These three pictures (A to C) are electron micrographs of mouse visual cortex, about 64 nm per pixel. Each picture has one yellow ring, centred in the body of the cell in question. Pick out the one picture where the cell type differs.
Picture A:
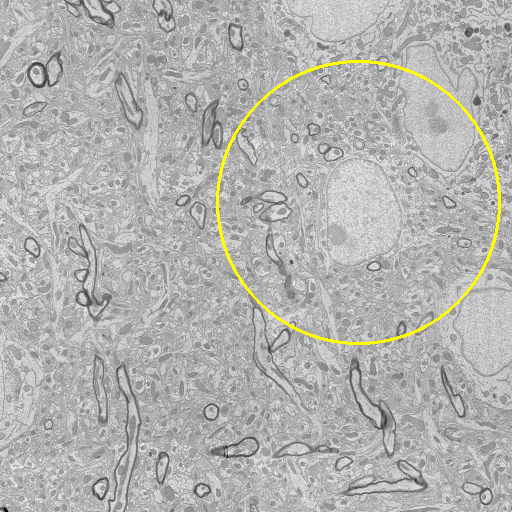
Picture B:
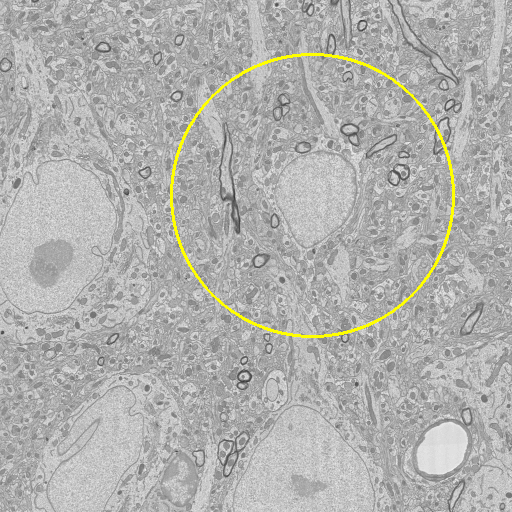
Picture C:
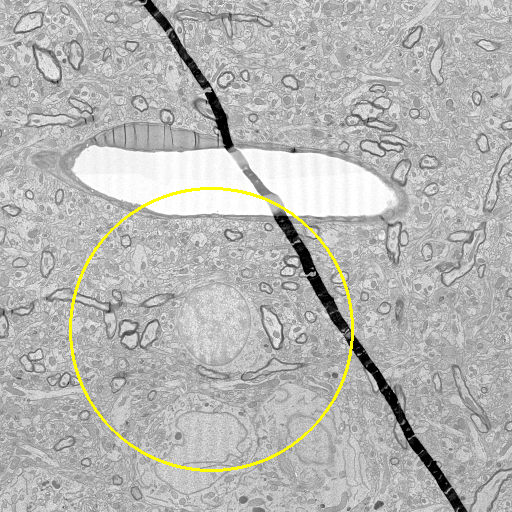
The different one is picture C; it shows an oligodendrocyte, whereas all the others show astrocytes.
